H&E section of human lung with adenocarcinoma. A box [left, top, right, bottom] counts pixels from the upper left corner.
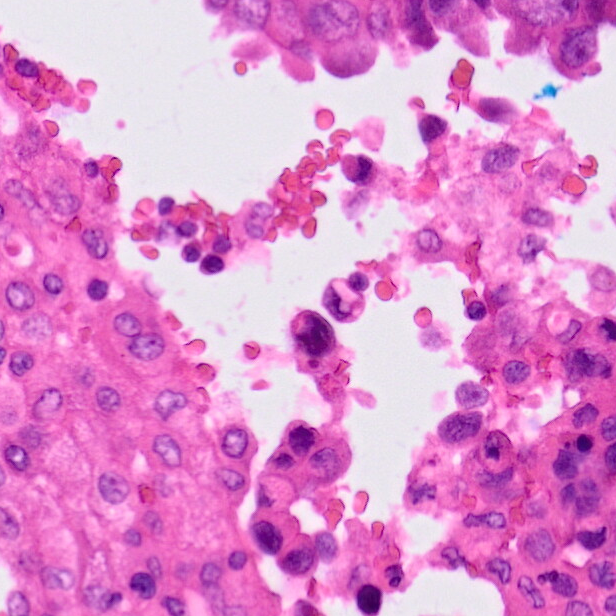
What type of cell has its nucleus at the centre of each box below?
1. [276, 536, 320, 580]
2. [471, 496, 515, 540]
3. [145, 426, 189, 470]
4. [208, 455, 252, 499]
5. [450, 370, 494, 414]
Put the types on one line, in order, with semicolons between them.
carcinoma cell; macrophage or monocyte; macrophage or monocyte; macrophage or monocyte; carcinoma cell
